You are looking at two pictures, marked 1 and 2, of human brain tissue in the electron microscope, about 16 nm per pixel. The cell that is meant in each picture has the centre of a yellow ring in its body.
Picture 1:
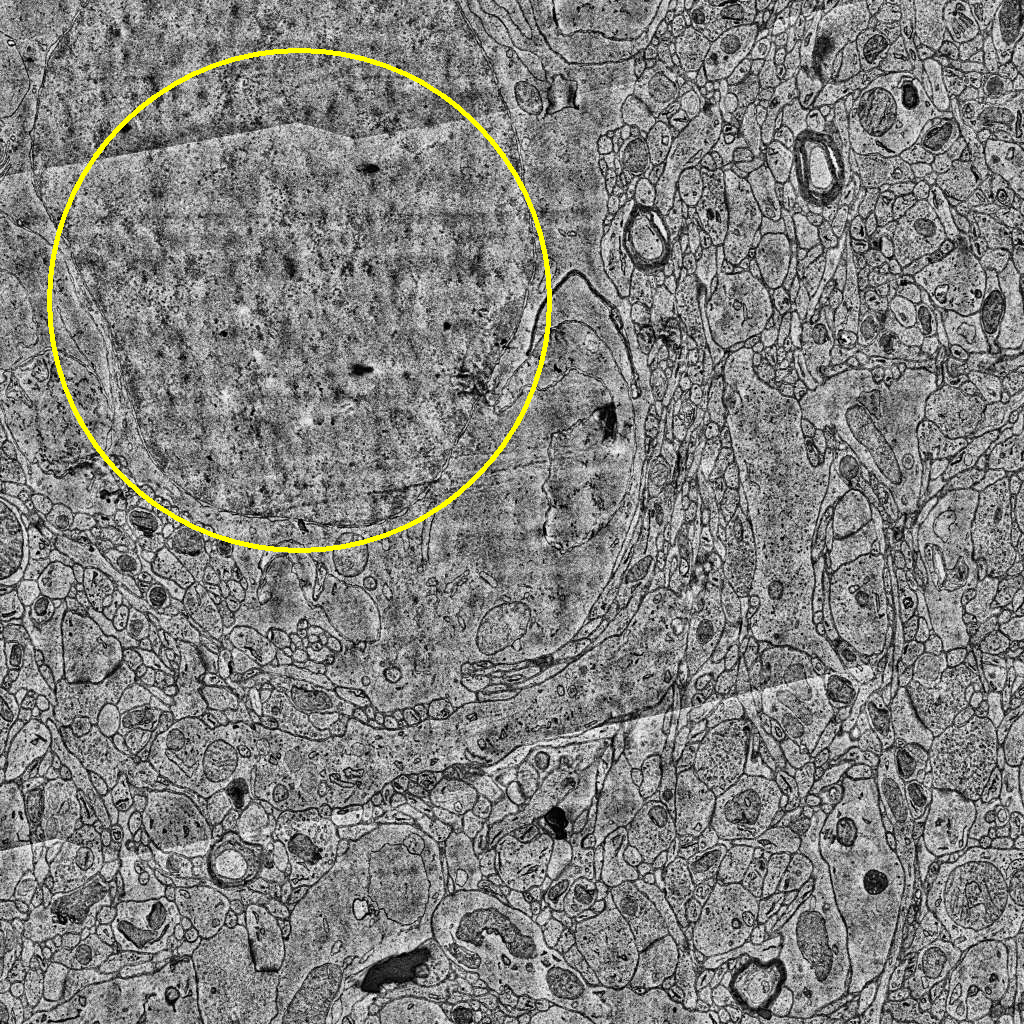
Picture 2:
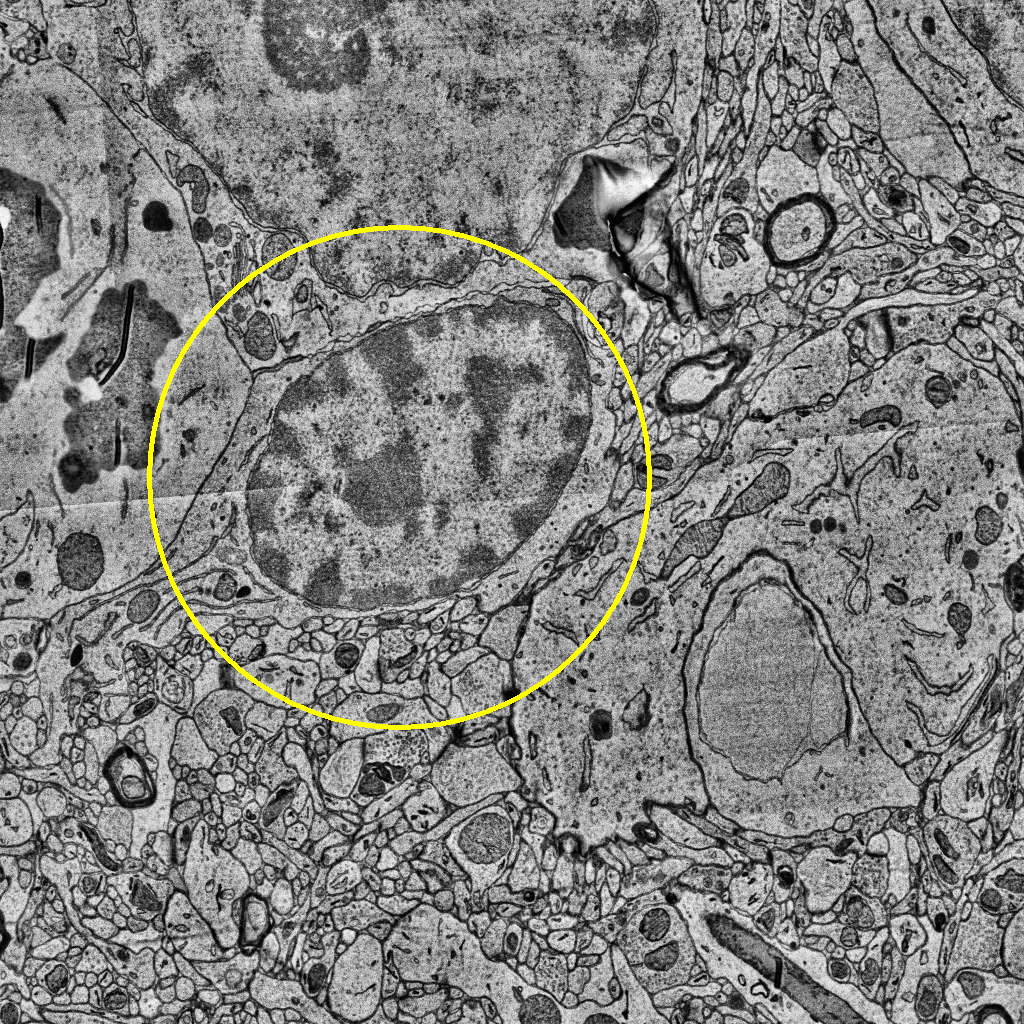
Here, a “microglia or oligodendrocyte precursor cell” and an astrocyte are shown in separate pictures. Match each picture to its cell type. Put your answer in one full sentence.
The cell in picture 1 is an astrocyte, and the one in picture 2 is a “microglia or oligodendrocyte precursor cell”.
